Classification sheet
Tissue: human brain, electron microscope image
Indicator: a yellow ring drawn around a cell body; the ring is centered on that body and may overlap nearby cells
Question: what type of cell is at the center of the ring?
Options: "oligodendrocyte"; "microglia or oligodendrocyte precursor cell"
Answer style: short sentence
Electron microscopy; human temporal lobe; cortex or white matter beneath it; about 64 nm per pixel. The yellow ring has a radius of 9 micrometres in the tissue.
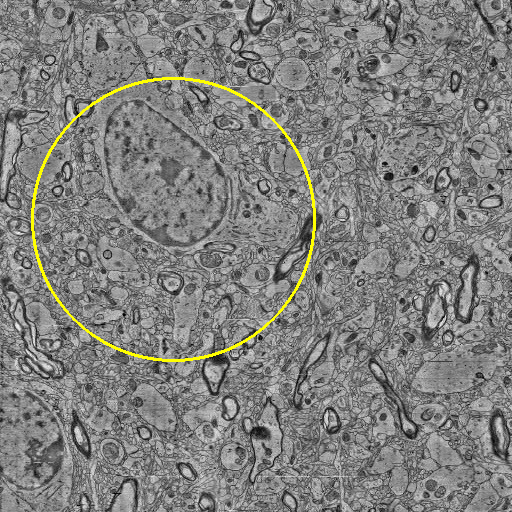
At the ring's center is a microglial cell or oligodendrocyte precursor cell.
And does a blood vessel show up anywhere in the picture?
No, none is visible.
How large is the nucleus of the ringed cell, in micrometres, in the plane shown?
In this plane the nucleus is roughly 10 by 7 micrometres, clearly longer than it is wide.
